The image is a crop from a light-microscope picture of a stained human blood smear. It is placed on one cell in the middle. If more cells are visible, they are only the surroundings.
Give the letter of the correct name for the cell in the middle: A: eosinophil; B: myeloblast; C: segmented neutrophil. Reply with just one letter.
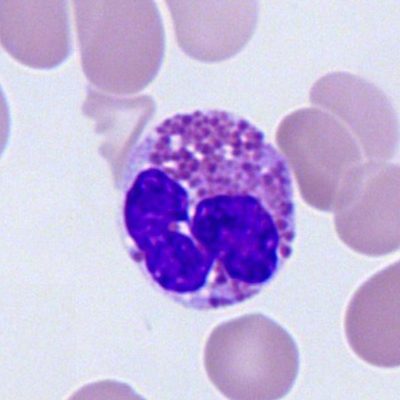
A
